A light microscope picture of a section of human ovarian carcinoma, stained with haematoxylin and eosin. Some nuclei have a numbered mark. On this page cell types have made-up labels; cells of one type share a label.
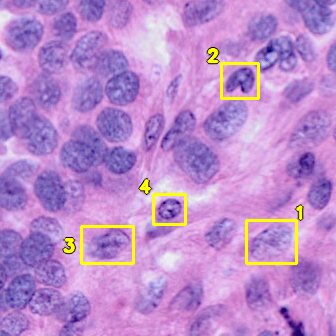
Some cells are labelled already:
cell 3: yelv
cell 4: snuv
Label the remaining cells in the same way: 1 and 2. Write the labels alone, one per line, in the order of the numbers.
yelv
snuv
